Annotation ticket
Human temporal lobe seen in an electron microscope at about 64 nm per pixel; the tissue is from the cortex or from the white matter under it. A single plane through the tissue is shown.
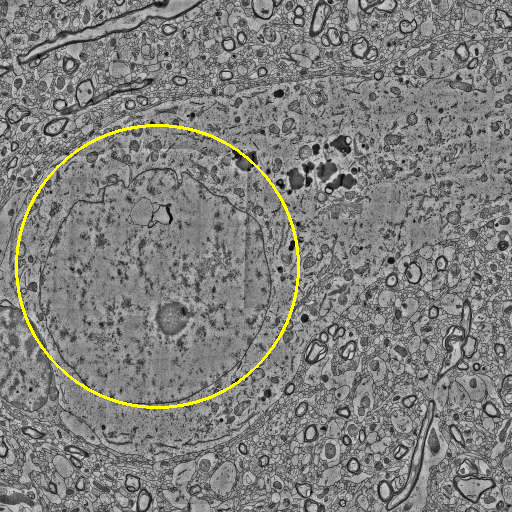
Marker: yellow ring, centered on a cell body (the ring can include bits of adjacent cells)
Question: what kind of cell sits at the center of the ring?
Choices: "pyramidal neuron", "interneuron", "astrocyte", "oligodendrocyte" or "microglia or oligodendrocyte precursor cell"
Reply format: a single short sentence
The ring is centered on a pyramidal neuron.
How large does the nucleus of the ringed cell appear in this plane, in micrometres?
Roughly 15 micrometres across, measured in this plane.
